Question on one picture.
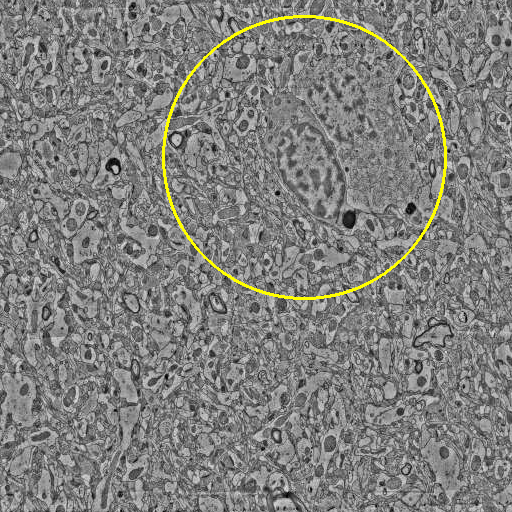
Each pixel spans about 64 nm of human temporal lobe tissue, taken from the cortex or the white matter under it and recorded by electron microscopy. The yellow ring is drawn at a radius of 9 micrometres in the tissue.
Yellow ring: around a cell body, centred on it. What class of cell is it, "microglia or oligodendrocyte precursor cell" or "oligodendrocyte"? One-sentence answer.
This is an oligodendrocyte, the cell the ring is centred on.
